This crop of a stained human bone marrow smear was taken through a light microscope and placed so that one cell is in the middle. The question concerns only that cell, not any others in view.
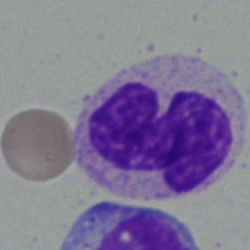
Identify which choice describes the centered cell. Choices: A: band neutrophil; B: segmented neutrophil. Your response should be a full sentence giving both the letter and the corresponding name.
Option A correctly names the cell in the middle as a band neutrophil.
